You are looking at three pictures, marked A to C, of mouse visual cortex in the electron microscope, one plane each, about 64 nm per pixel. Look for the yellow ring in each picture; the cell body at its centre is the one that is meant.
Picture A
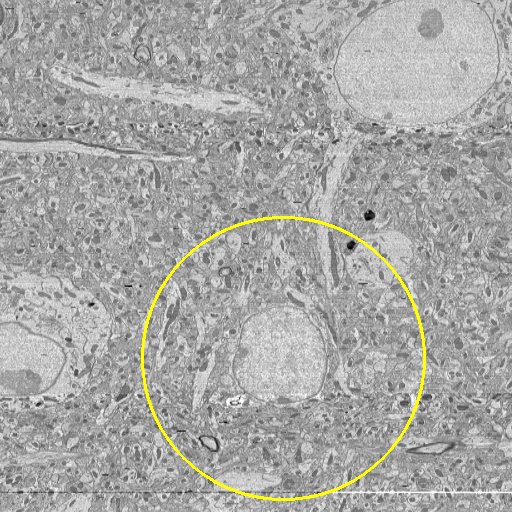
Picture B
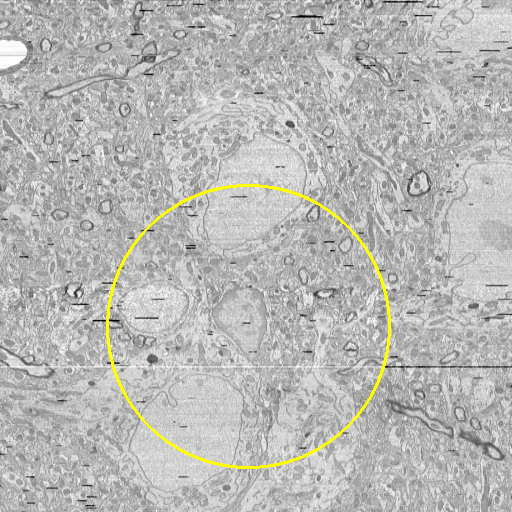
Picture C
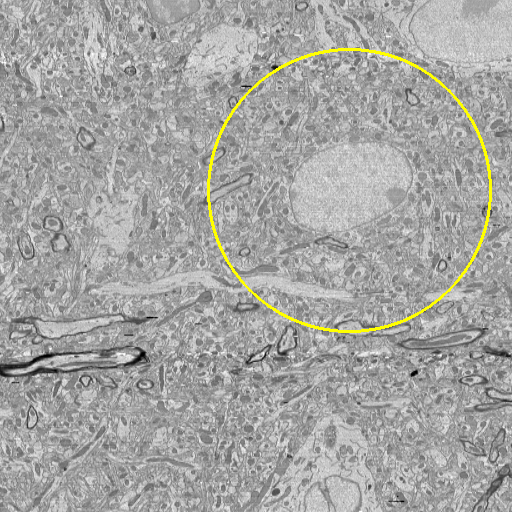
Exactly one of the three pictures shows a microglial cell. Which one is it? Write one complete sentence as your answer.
The picture with the microglial cell is B.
